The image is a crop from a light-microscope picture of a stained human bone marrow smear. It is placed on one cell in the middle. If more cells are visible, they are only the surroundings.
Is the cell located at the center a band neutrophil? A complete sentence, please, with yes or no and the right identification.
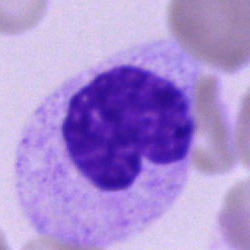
No, the label for the central cell is a metamyelocyte, not a band neutrophil.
